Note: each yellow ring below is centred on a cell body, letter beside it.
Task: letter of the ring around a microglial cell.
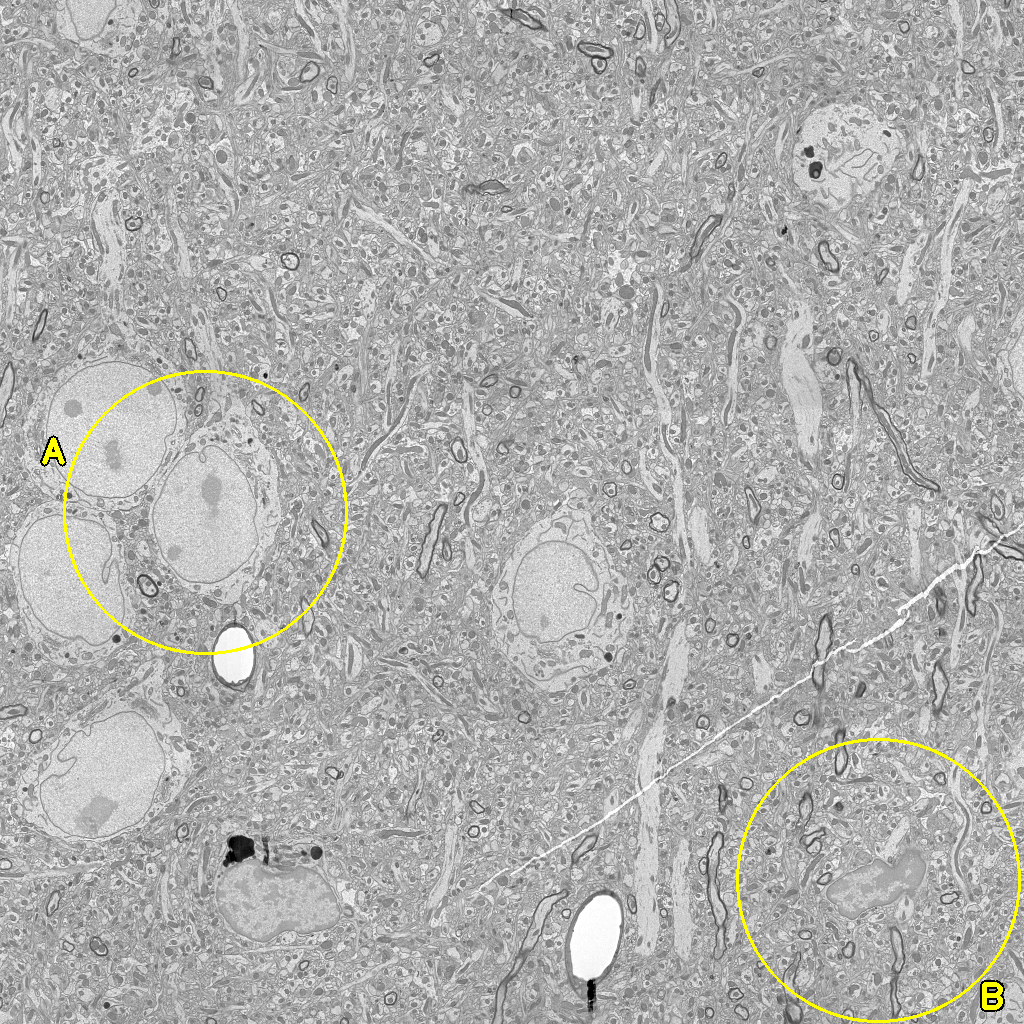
B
